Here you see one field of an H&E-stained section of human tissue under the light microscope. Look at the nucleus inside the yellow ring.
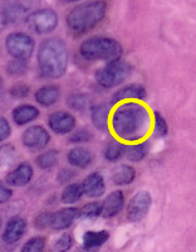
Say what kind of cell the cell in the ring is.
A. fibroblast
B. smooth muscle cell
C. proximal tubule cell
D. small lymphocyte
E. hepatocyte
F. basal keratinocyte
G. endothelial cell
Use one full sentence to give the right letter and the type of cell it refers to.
Option F gives the correct identity of the cell in the ring, which is a basal keratinocyte.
